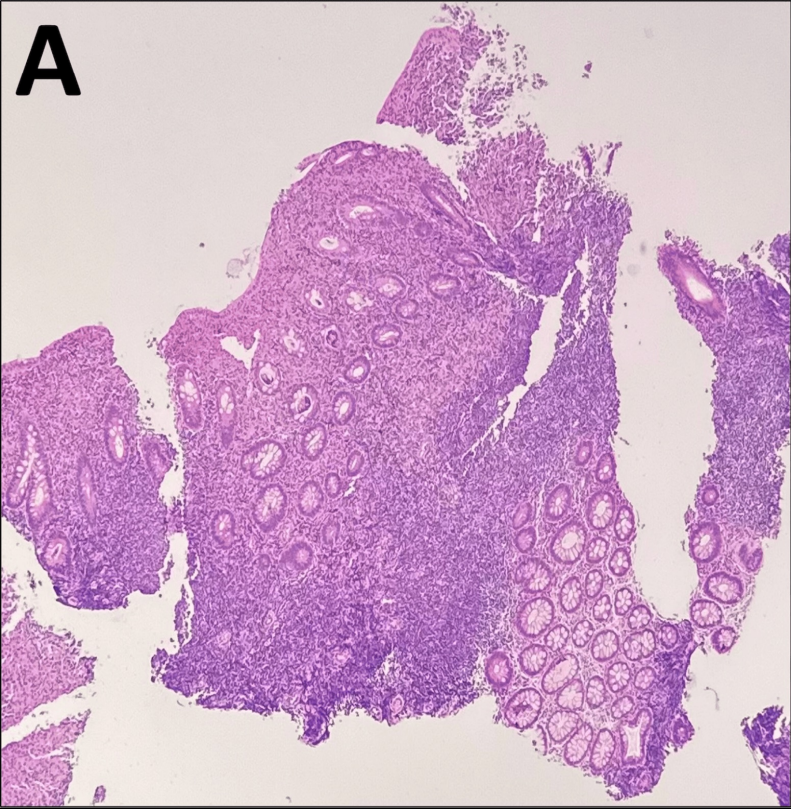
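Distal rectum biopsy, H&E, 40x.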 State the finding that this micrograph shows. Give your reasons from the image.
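The crypts are unevenly spaced and vary in size and shape. In part of the mucosa the crypts are sparse and widely separated. On this evidence: crypt distortion and irregularity.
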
